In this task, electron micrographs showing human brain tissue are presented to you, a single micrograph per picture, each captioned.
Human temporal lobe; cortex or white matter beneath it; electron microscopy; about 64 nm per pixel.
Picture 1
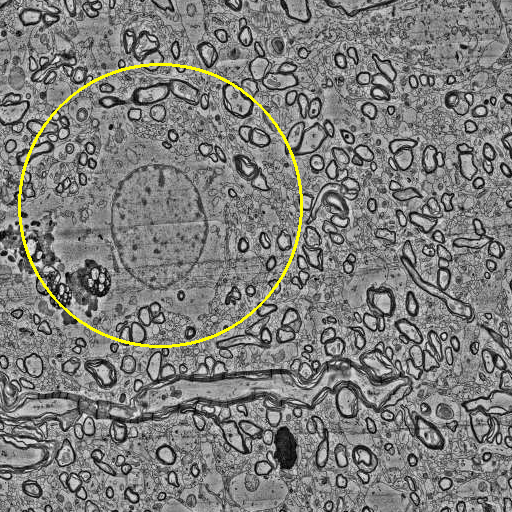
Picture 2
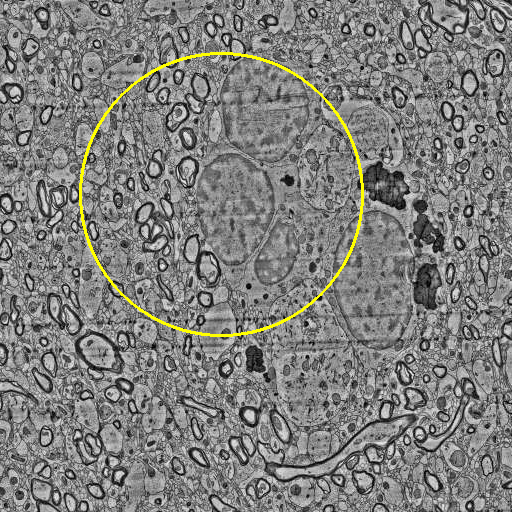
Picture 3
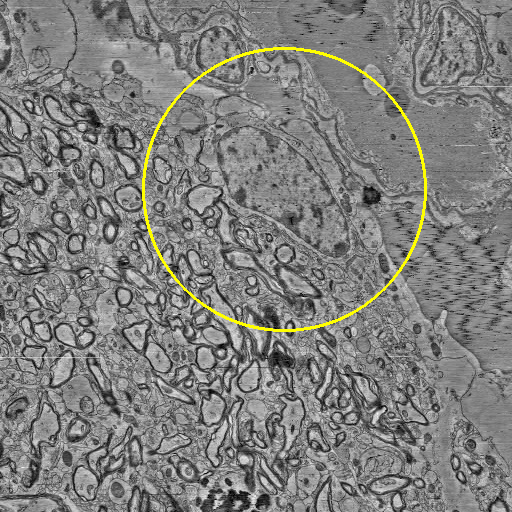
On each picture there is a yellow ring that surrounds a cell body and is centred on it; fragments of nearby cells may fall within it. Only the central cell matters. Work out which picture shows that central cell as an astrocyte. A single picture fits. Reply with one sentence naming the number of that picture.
Of all the pictures, number 1 has the right cell in the centre of its ring.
